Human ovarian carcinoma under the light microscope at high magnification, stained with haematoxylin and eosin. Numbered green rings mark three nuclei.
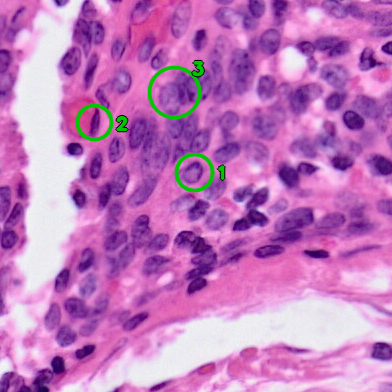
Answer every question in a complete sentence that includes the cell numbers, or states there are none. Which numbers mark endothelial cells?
Being an endothelial cell is true of cell 2 and of no other numbered cell.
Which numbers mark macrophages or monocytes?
The nucleus labelled 1 alone belongs to a macrophage or monocyte; the other marked nuclei do not.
